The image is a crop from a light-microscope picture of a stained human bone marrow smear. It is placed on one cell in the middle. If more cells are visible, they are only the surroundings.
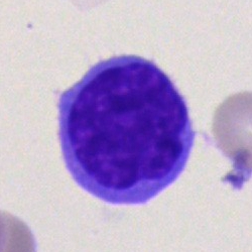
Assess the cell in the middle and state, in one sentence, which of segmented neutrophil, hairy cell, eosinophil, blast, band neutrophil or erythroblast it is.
This particular crop is centered on a blast.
